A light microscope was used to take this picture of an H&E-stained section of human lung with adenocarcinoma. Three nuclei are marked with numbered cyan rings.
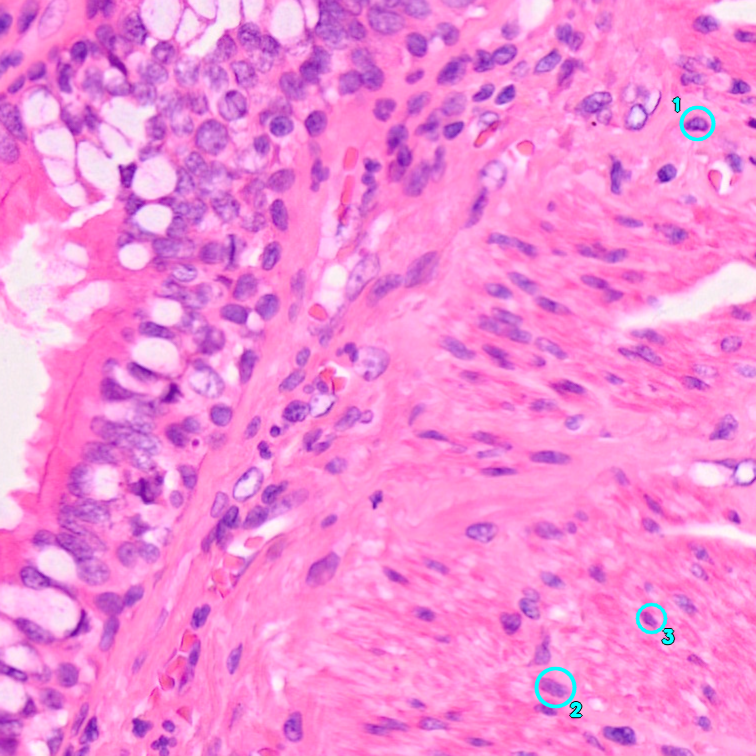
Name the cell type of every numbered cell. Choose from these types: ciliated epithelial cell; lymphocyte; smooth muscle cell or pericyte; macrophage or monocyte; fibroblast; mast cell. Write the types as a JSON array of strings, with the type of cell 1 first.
["mast cell", "smooth muscle cell or pericyte", "smooth muscle cell or pericyte"]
